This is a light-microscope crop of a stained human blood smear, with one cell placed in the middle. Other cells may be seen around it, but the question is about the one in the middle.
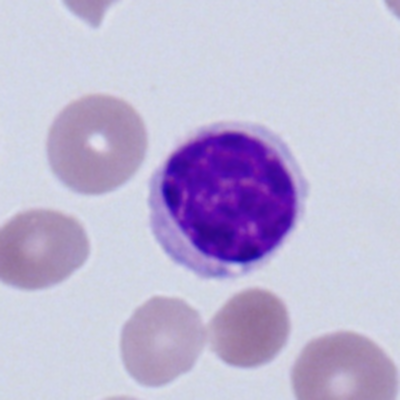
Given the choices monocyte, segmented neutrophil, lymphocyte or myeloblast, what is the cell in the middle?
lymphocyte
